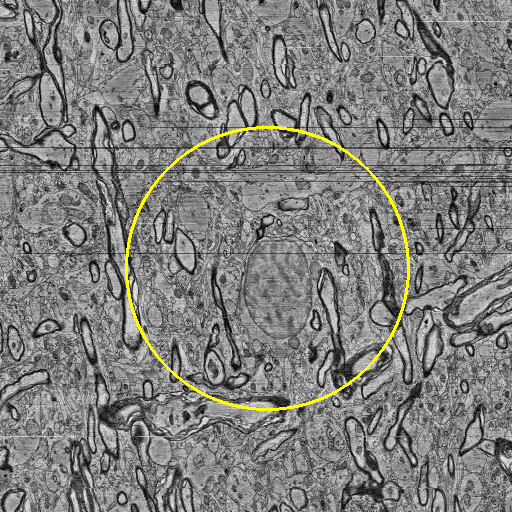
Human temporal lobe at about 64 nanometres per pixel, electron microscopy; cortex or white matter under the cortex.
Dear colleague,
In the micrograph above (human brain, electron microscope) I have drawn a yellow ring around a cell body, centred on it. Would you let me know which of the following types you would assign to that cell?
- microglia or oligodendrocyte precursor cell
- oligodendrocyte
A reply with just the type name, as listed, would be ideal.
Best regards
oligodendrocyte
